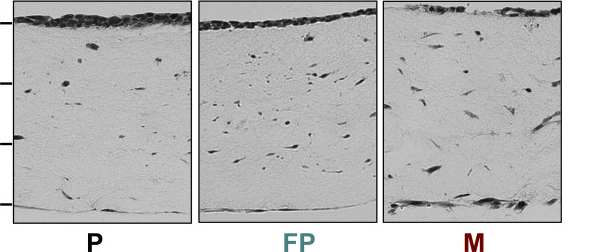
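Single cells lie scattered through the gel at various levels. Many of them are elongated or spindle-shaped with dark nuclei, while others are small and rounded. In the right-hand image, elongated cells are more frequent deep in the gel, and a cluster of cells also lines the lower edge.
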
